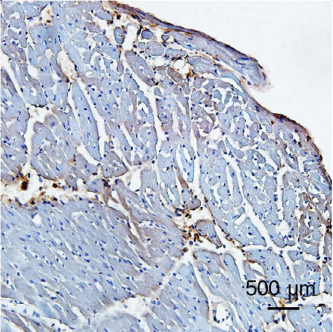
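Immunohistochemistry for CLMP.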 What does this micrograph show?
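This is heart muscle, made up mostly of cardiac muscle cells cut in several planes. The fibres are broad, pale blue-grey and branching, arranged in bundles separated by thin clefts, with oval nuclei lying within them. Brown stain is scant: it appears only in a few small interstitial cells between the fibres and as a thin rim along the outer surface of the wall. Most of the myocardium stays free of brown, so the muscle cells look largely unstained. The tissue keeps its ordered architecture, without the streams of spindle cells seen where the wall has been replaced by scar.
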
